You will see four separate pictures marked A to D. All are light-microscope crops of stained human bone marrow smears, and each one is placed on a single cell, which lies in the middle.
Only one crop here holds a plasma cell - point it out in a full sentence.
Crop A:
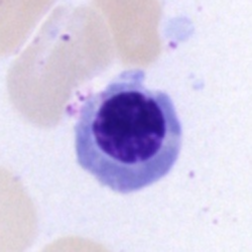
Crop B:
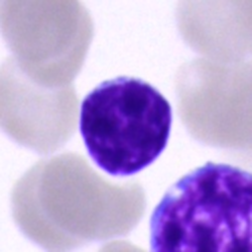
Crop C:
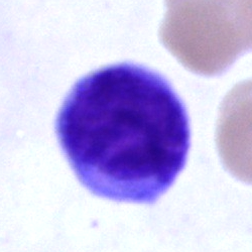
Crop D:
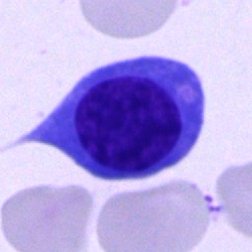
The crop in which a plasma cell is shown is crop D.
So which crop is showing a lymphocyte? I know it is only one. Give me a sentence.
Crop B is the one in this set that shows a lymphocyte.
